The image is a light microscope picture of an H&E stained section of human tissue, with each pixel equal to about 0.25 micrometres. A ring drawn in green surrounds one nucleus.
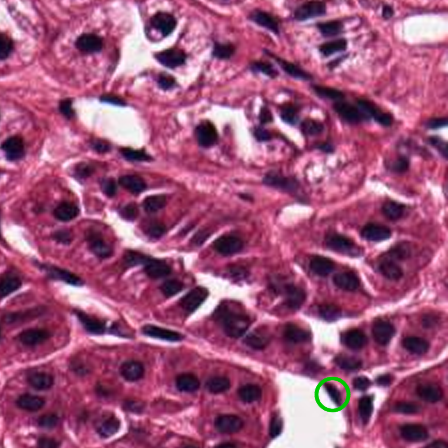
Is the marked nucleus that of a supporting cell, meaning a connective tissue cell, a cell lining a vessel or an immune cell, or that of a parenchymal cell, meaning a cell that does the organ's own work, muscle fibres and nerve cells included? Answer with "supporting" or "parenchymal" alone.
supporting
